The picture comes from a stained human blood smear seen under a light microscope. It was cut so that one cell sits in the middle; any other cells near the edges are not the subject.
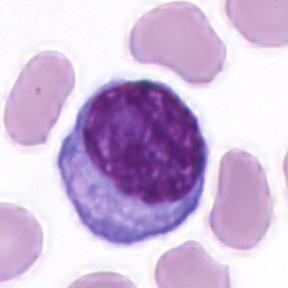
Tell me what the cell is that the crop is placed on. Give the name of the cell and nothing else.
plasma cell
